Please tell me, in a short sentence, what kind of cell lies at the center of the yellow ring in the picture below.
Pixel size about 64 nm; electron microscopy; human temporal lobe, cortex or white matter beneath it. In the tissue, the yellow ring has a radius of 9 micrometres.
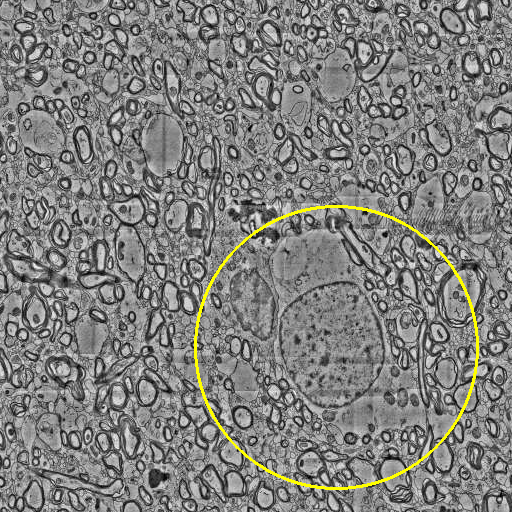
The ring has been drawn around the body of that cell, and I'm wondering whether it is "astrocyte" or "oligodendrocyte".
The cell at the center of the ring is an astrocyte.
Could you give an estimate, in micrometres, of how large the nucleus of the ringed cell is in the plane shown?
Roughly 8 by 7 micrometres is the size of the nucleus in this plane.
